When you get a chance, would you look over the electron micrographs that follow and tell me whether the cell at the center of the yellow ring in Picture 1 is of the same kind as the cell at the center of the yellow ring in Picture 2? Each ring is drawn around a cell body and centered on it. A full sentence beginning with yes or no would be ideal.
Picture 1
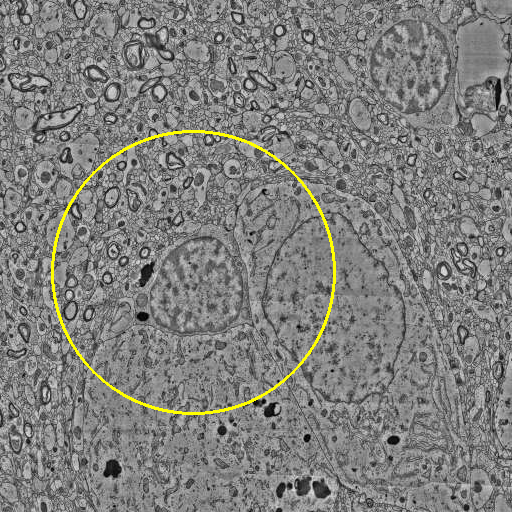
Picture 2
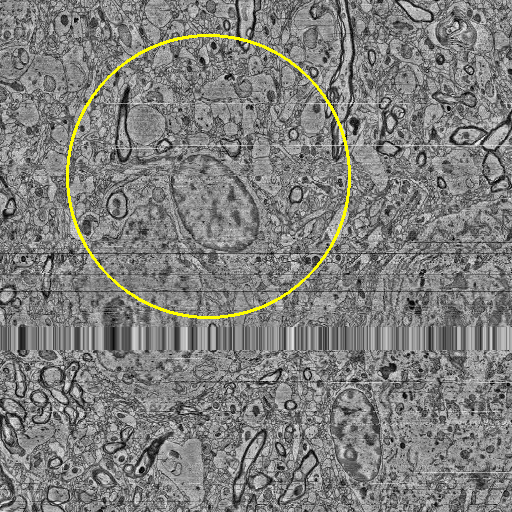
Yes, the two cells are of the same kind.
